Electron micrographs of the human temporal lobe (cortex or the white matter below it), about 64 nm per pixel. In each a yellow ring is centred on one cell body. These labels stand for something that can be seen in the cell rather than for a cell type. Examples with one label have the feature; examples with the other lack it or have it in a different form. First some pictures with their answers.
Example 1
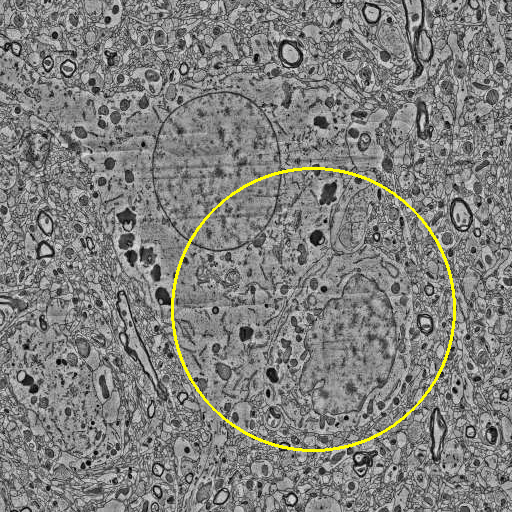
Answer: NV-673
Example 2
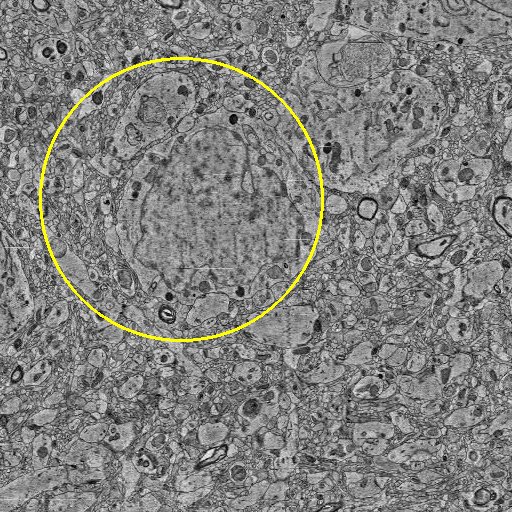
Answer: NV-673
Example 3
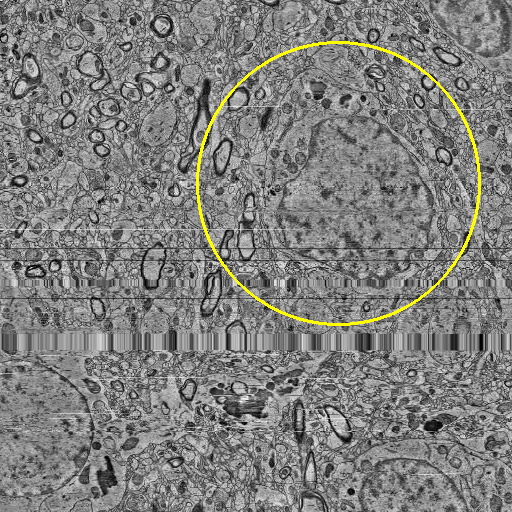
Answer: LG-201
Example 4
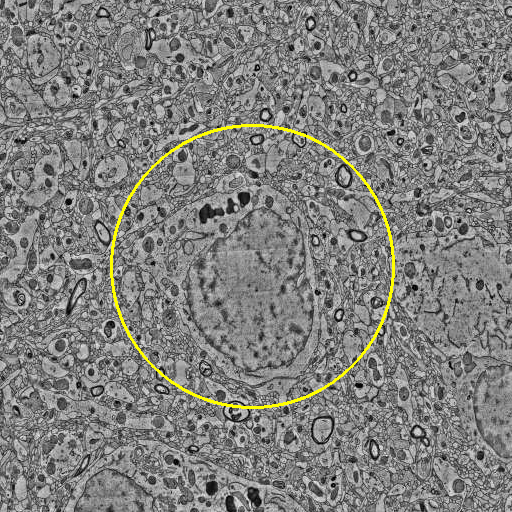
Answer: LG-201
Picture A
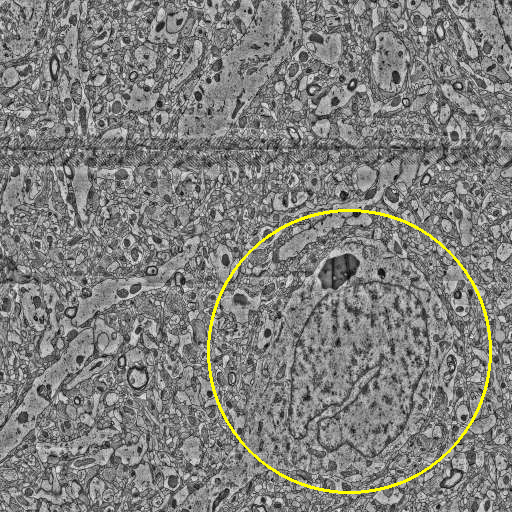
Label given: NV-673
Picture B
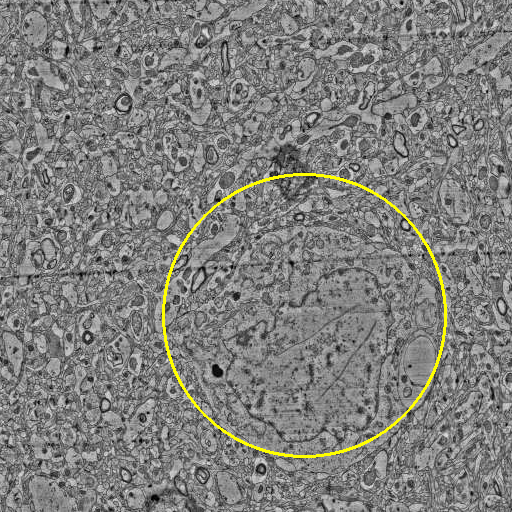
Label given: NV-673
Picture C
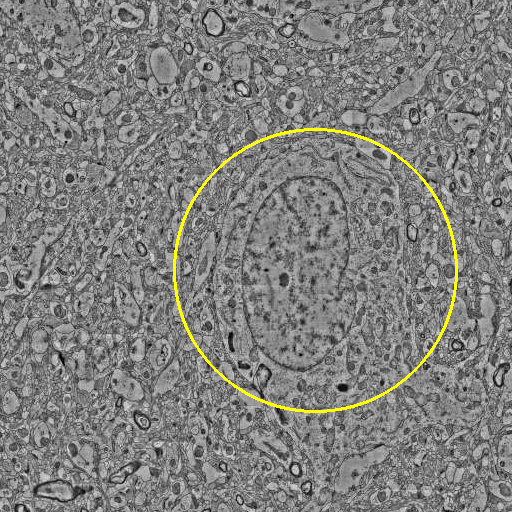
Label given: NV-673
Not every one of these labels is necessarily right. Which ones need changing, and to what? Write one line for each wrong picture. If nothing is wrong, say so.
C: change NV-673 to LG-201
